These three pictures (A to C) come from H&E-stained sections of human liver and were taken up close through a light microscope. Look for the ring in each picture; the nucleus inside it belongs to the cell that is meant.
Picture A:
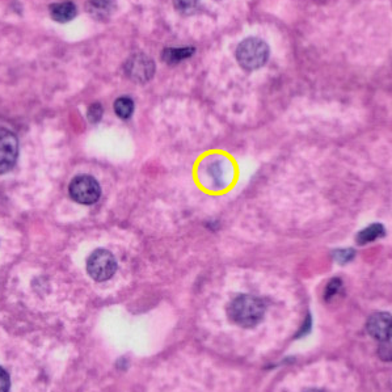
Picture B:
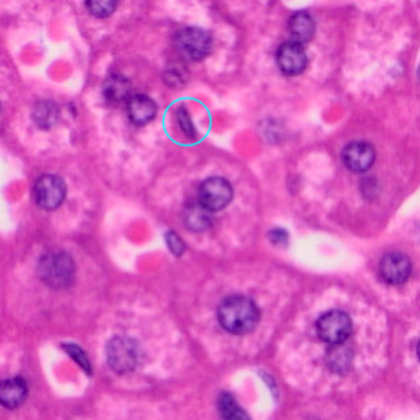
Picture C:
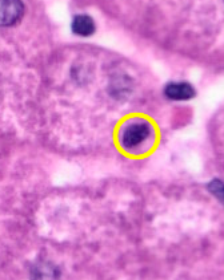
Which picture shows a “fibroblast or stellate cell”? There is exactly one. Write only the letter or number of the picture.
C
